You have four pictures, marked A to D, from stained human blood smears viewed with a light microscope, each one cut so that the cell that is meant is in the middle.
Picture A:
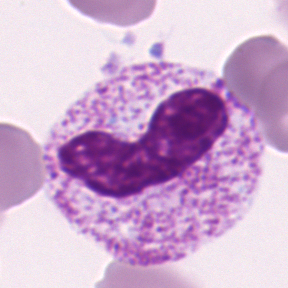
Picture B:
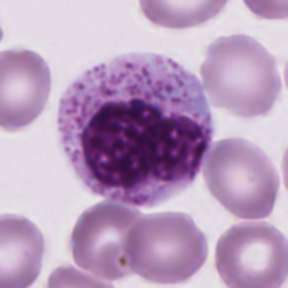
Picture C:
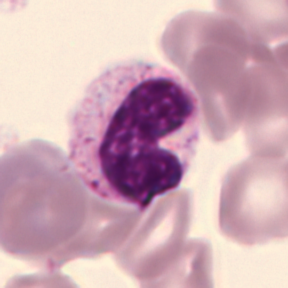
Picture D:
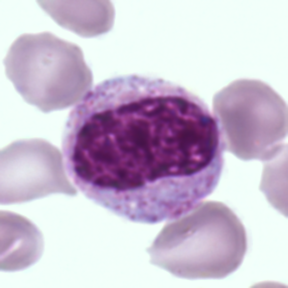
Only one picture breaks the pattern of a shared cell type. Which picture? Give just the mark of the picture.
D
